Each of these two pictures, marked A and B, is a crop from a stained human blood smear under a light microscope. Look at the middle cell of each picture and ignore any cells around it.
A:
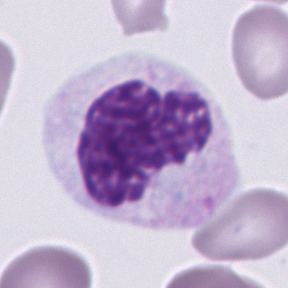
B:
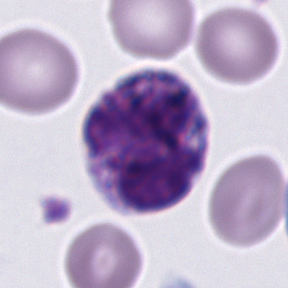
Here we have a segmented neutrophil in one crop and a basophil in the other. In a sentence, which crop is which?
Crop A is recognised as a segmented neutrophil, crop B as a basophil.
